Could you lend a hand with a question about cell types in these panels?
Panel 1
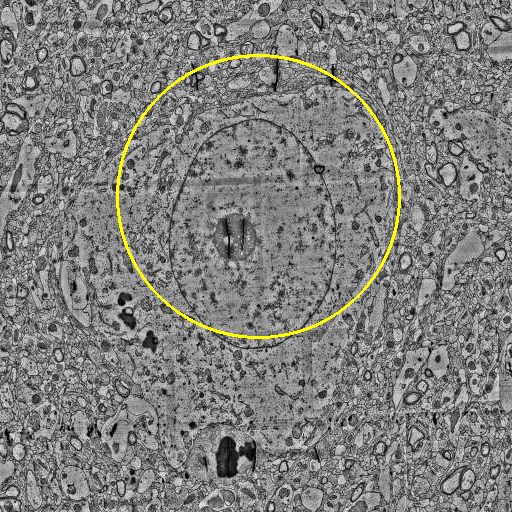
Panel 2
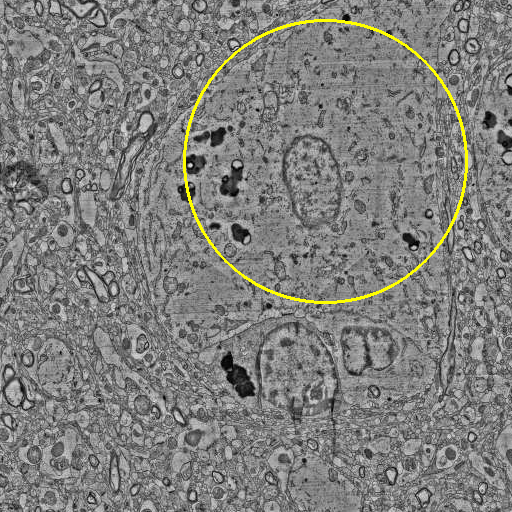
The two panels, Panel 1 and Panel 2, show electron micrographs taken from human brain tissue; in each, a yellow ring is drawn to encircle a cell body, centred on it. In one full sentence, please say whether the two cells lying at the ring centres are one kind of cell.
Yes, the cells at the ring centres in the two panels are one kind of cell.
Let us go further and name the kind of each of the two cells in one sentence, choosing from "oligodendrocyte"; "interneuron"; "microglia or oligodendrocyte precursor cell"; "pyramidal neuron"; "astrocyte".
Each of the two pictures has a pyramidal neuron at the ring centre.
